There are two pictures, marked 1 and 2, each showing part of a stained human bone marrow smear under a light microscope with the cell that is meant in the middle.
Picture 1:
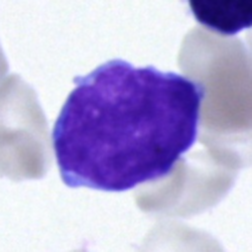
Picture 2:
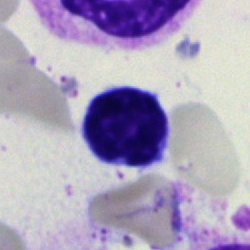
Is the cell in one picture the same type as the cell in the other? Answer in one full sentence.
No. Picture 1 shows a blast, but picture 2 shows a lymphocyte.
